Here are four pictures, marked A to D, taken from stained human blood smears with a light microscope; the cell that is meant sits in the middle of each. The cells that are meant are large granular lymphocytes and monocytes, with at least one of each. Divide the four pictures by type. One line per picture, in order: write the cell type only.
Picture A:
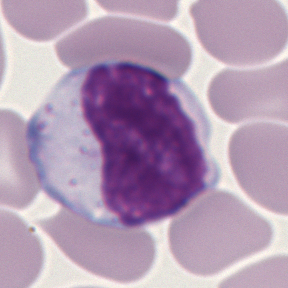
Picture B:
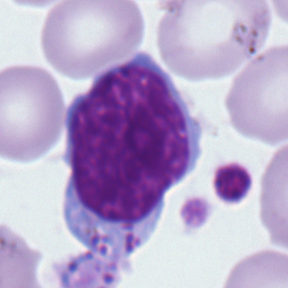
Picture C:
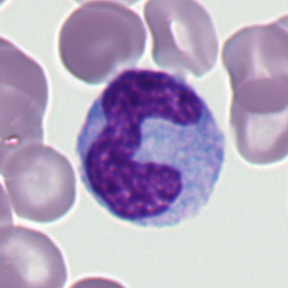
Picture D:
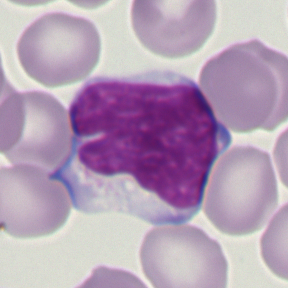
large granular lymphocyte
large granular lymphocyte
monocyte
large granular lymphocyte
